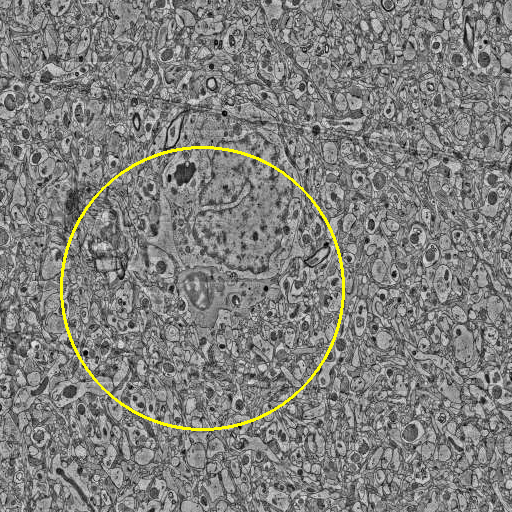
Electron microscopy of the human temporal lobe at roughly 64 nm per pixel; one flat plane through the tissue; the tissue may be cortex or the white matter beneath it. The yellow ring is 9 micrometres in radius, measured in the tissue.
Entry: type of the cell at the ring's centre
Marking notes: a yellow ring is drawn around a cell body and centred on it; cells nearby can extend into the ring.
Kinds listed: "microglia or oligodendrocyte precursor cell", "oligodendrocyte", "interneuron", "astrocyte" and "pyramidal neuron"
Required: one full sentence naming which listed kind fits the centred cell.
My entry names an oligodendrocyte as the cell whose body the yellow ring centres on.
